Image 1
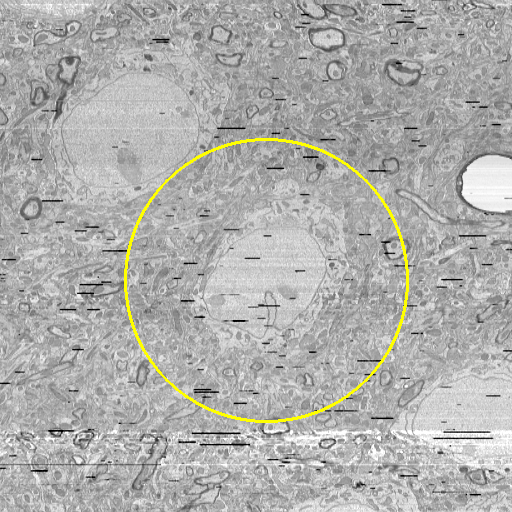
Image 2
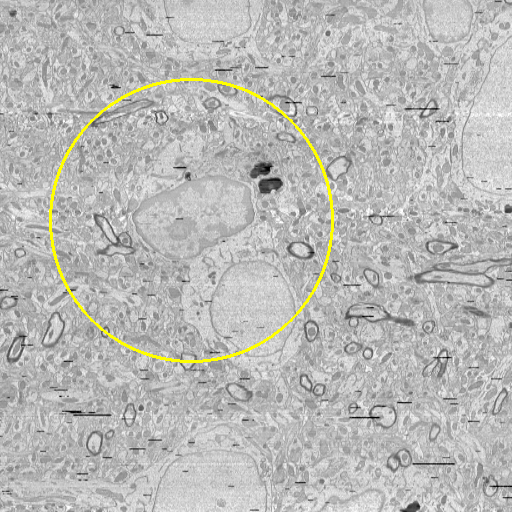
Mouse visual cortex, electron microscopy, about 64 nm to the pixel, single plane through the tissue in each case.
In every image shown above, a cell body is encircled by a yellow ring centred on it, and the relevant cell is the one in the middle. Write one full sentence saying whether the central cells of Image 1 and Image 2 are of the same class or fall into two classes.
The cell at the ring's centre in Image 1 and its counterpart in Image 2 fall into two classes.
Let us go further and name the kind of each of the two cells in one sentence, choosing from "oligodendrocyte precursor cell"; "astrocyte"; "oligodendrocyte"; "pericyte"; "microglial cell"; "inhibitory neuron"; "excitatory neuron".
The ring of the first picture is on an excitatory neuron, the ring of the second on a microglial cell.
